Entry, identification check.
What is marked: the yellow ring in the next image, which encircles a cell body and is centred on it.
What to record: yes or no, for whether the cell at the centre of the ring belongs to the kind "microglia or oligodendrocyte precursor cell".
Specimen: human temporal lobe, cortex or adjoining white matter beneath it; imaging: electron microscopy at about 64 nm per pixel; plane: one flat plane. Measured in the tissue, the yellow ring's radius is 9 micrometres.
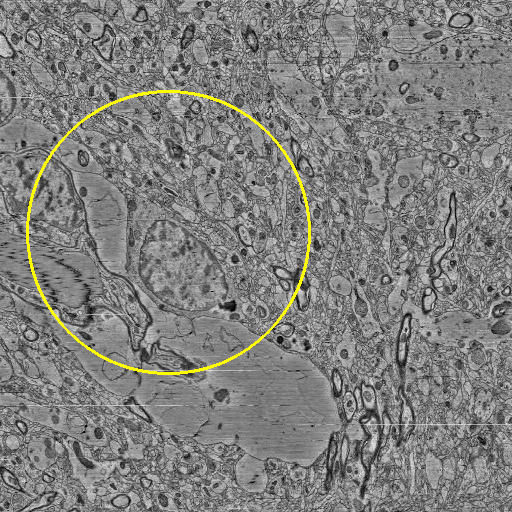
No, it belongs to another kind.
